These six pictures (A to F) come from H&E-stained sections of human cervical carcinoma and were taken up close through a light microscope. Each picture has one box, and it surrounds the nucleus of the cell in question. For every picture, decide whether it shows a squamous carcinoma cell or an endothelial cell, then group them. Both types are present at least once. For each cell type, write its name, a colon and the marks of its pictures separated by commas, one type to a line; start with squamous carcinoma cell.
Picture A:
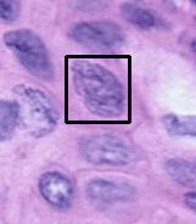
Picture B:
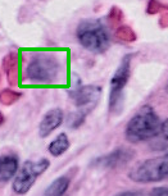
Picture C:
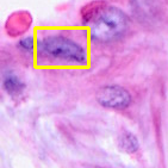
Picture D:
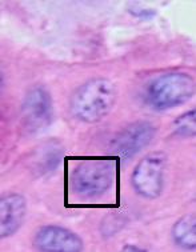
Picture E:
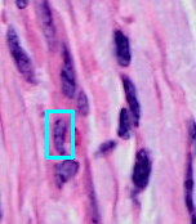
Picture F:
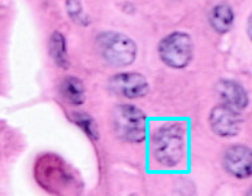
squamous carcinoma cell: A, D, F
endothelial cell: B, C, E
